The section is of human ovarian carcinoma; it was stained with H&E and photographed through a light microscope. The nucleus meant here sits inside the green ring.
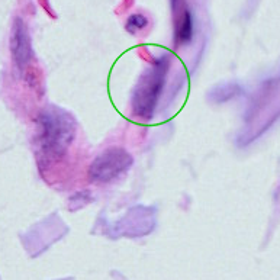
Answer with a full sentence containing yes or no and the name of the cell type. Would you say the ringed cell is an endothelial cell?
Yes, the ringed cell in this field is an endothelial cell.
